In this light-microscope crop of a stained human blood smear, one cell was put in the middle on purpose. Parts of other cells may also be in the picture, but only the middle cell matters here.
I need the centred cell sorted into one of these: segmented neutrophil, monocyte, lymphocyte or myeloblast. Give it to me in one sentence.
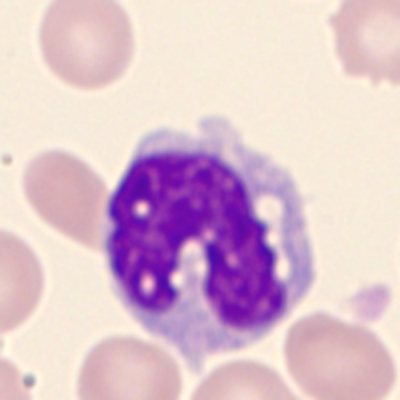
The centrally positioned cell in the crop represents a monocyte.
